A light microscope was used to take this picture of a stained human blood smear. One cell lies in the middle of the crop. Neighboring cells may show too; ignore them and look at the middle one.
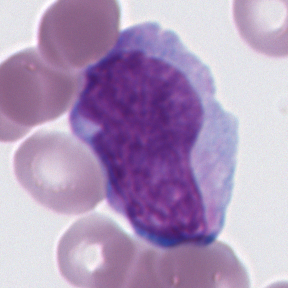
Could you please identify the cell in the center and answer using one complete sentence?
The middle position in this crop is taken by an atypical promyelocyte.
